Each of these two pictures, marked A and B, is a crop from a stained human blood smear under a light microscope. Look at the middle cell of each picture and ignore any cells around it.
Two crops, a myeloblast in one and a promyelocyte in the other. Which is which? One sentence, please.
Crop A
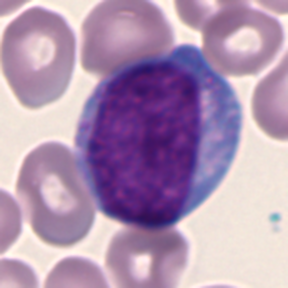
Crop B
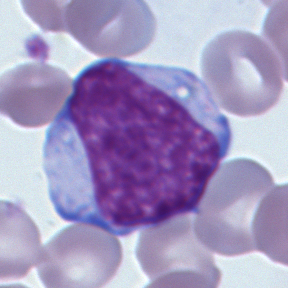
The cell centred in crop A is a promyelocyte, and the one centred in crop B is a myeloblast.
